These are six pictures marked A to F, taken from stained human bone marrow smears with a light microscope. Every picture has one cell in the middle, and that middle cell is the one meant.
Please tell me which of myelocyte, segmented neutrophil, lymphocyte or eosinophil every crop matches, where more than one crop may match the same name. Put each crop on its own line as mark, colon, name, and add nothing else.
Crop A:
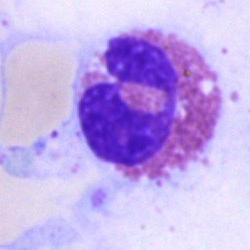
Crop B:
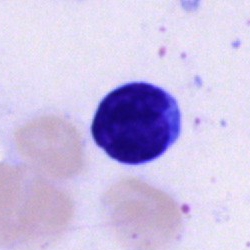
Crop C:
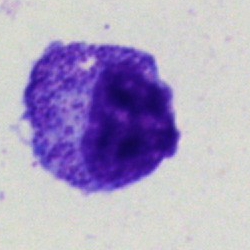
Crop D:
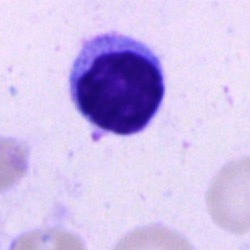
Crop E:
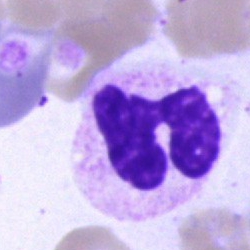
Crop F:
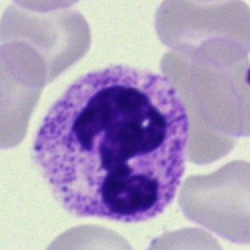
A: eosinophil
B: lymphocyte
C: myelocyte
D: lymphocyte
E: segmented neutrophil
F: segmented neutrophil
